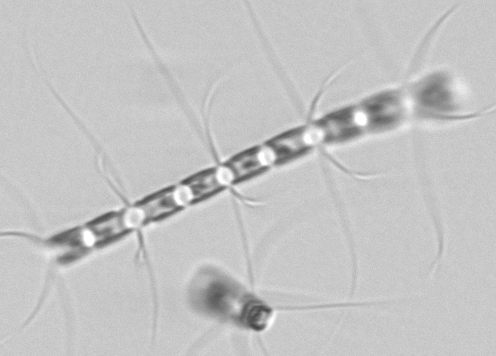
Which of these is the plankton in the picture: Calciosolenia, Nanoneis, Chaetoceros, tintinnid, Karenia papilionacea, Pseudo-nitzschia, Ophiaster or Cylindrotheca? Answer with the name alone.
Chaetoceros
